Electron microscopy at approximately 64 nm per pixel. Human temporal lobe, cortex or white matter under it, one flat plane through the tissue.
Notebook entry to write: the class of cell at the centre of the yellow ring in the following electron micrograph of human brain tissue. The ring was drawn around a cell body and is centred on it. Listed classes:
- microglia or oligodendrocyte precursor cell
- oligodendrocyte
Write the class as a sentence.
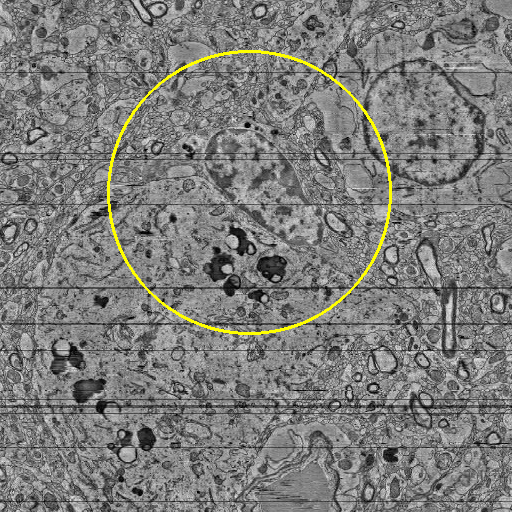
The yellow ring sits on a microglial cell or oligodendrocyte precursor cell.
